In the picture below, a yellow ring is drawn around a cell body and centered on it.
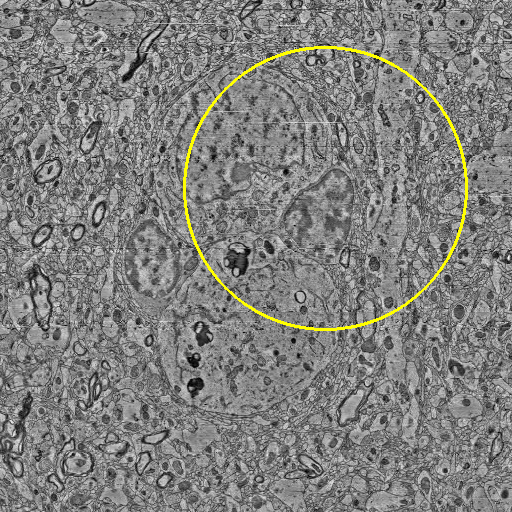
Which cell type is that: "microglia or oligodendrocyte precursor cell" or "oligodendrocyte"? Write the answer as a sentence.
The cell centered in the ring is an oligodendrocyte.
